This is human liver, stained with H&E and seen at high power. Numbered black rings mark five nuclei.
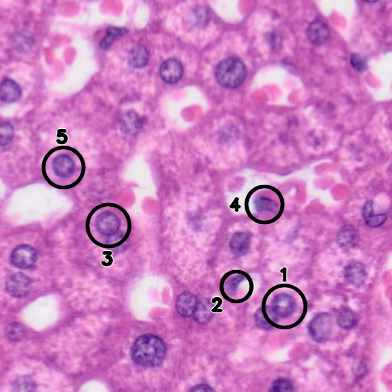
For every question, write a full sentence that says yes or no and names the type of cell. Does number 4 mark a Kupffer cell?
Yes, that one, number 4, is a Kupffer cell.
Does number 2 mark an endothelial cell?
Yes, it is an endothelial cell that number 2 identifies.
